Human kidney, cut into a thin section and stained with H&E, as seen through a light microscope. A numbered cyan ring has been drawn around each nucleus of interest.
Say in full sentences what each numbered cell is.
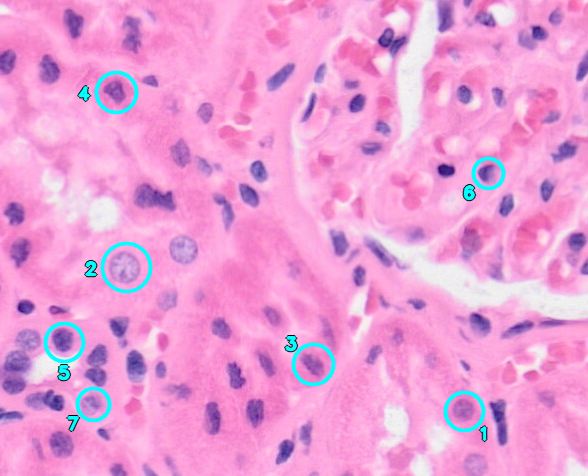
Cell 1 is a proximal tubule cell, cell 2 is a proximal tubule cell, cell 3 is a proximal tubule cell, cell 4 is a proximal tubule cell, cell 5 is a collecting duct cell, cell 6 is an endothelial cell and cell 7 is a collecting duct cell.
